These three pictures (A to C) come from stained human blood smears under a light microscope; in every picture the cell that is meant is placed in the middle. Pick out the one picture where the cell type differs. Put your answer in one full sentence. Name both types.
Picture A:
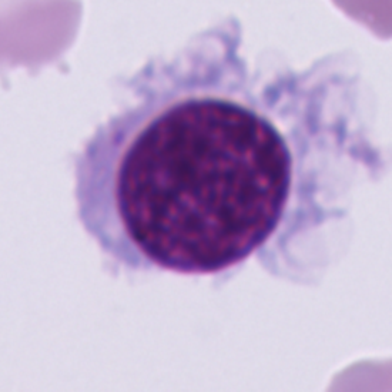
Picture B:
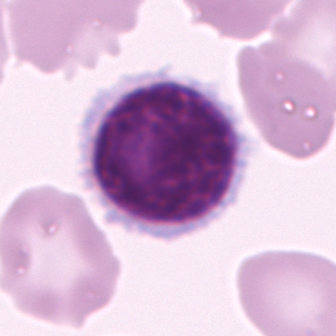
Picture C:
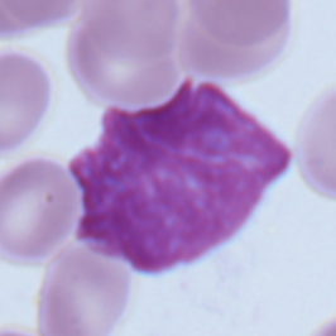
All pictures except C show hairy cells; picture C shows a smudge cell.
